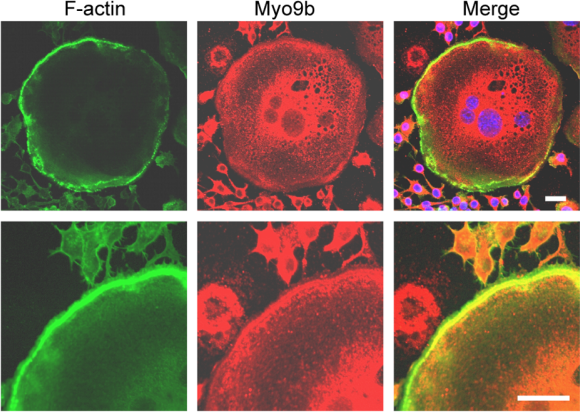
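The red label fills the cytoplasm and also lies along the margin, where it overlaps the green band and appears yellow in the merged image. Several blue nuclei are grouped near the middle of the cell.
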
